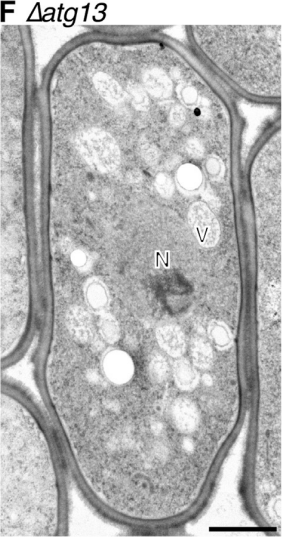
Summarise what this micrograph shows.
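Elongated walled cell in thin section with many small vacuoles scattered through the cytoplasm. The vacuoles have pale, loose, flocculent contents and some show round clear spots, but hold no dense round bodies. A nucleus with an irregular darker region lies in the middle of the cell. The cytoplasm between the vacuoles is granular and evenly grey.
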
